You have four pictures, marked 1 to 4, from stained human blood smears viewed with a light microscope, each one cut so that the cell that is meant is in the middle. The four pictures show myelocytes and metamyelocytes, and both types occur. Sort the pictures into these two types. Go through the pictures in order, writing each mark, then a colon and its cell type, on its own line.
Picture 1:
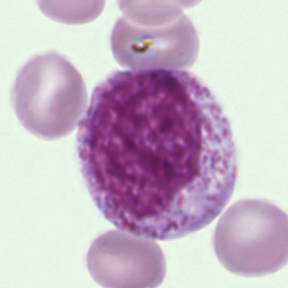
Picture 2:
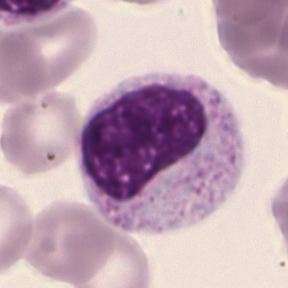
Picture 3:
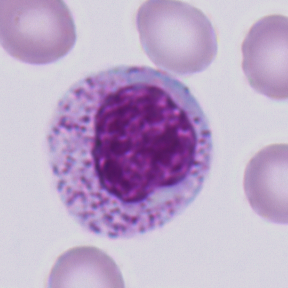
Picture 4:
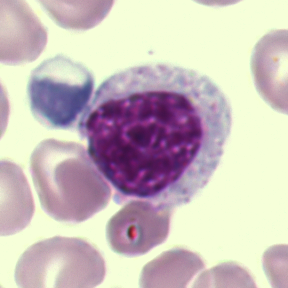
1: myelocyte
2: metamyelocyte
3: myelocyte
4: metamyelocyte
